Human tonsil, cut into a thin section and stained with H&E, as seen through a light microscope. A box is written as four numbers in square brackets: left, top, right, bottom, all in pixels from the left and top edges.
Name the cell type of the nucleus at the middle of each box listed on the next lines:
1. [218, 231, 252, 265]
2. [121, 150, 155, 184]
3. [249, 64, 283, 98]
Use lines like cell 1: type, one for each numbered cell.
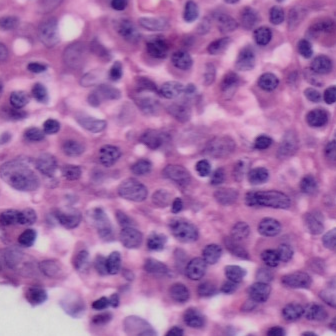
cell 1: squamous epithelial cell
cell 2: plasma cell
cell 3: plasma cell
